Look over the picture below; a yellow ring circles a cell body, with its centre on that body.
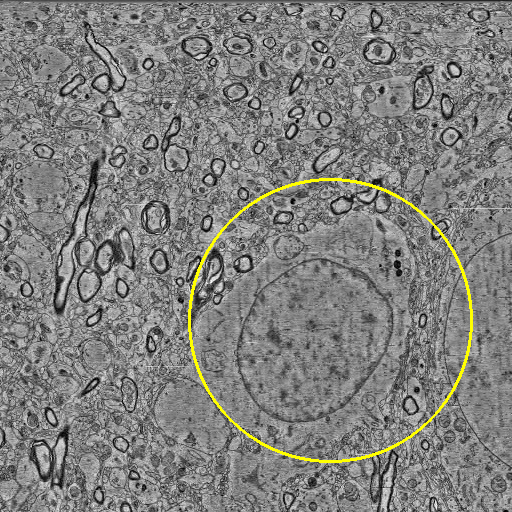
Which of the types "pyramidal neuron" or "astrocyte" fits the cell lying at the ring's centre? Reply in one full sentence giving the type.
The picture shows an astrocyte at the centre of the yellow ring.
